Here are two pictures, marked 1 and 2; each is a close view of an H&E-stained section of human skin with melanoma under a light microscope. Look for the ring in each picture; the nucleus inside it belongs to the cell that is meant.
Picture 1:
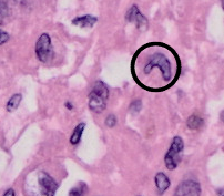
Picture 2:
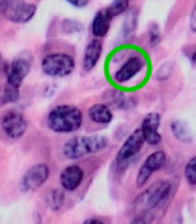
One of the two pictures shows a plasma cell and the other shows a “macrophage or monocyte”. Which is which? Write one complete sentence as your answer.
Picture 1 shows a “macrophage or monocyte” and picture 2 shows a plasma cell.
